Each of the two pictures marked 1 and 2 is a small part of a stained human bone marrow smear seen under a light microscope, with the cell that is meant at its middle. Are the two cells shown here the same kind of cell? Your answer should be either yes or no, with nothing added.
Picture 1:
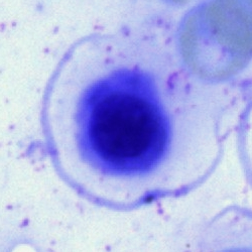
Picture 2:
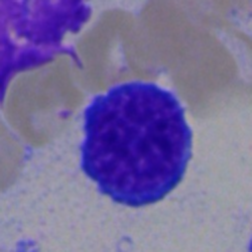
no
